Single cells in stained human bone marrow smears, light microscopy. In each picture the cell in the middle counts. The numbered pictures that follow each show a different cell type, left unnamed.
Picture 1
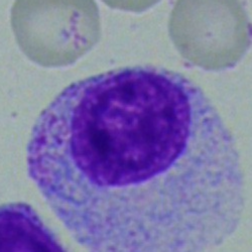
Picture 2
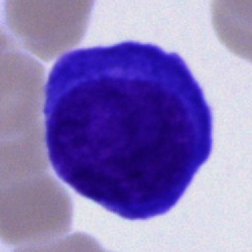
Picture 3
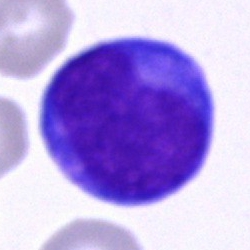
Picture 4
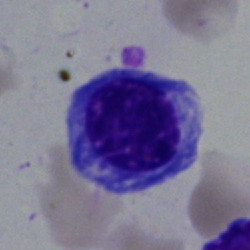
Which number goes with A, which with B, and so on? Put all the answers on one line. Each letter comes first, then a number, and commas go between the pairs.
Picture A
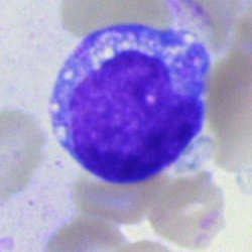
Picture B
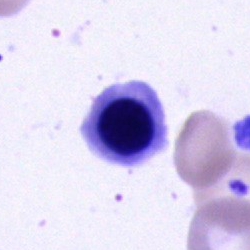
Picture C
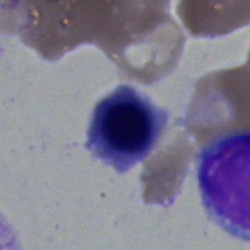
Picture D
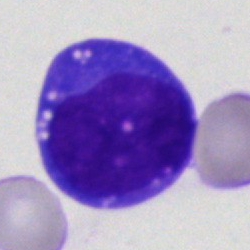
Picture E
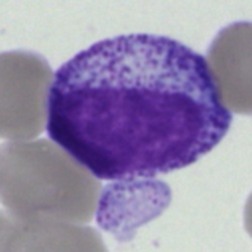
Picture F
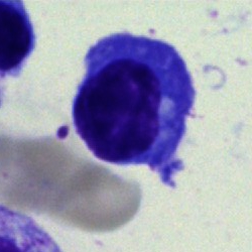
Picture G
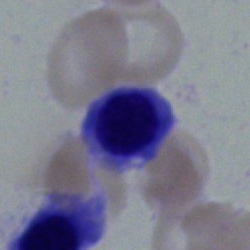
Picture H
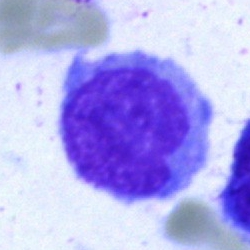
A 3, B 4, C 4, D 3, E 1, F 2, G 4, H 3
